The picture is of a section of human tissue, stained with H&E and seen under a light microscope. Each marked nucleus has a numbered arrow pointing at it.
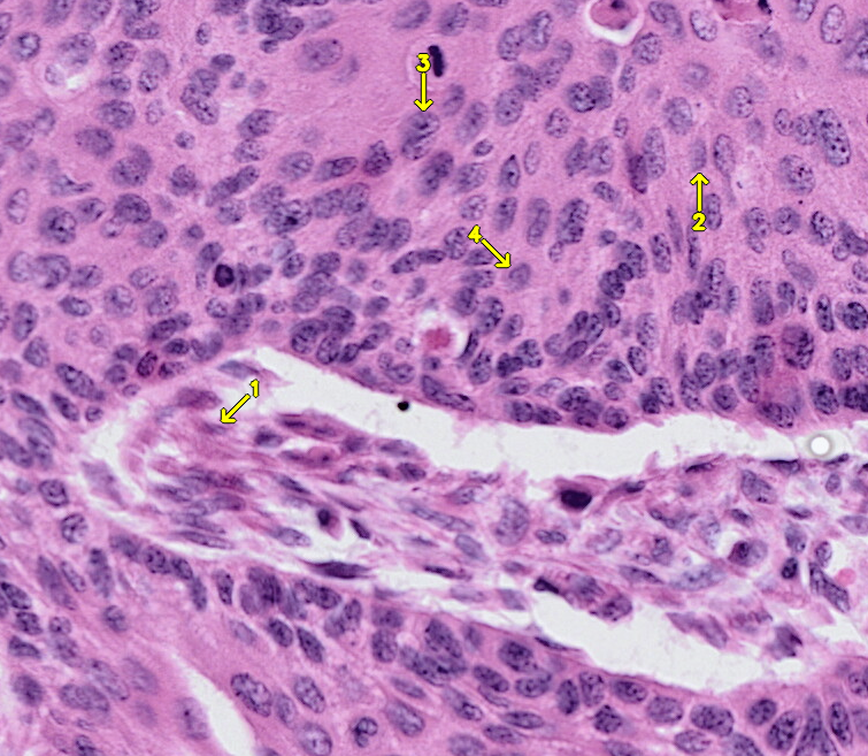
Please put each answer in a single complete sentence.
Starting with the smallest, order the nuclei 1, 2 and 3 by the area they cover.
By area, going up from the smallest, they rank 1, 2, 3.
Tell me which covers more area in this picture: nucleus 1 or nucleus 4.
Nucleus 4 is the larger one, covering about 2.5 times the area of nucleus 1.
